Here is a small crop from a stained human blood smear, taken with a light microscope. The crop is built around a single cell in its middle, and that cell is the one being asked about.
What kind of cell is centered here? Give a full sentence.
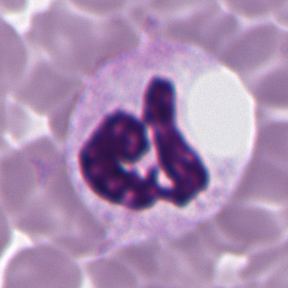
The cell that lies at the centre of the crop is a segmented neutrophil.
